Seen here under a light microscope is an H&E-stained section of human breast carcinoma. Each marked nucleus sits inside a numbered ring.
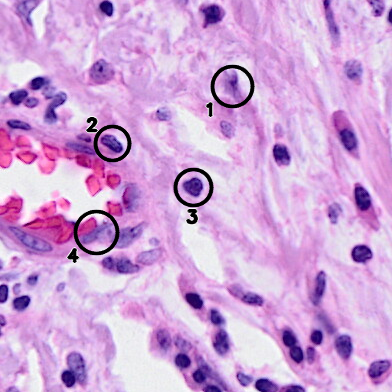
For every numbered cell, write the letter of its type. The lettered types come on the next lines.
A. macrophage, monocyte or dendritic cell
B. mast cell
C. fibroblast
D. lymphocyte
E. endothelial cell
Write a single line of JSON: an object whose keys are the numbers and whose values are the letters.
{"1": "C", "2": "D", "3": "D", "4": "E"}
